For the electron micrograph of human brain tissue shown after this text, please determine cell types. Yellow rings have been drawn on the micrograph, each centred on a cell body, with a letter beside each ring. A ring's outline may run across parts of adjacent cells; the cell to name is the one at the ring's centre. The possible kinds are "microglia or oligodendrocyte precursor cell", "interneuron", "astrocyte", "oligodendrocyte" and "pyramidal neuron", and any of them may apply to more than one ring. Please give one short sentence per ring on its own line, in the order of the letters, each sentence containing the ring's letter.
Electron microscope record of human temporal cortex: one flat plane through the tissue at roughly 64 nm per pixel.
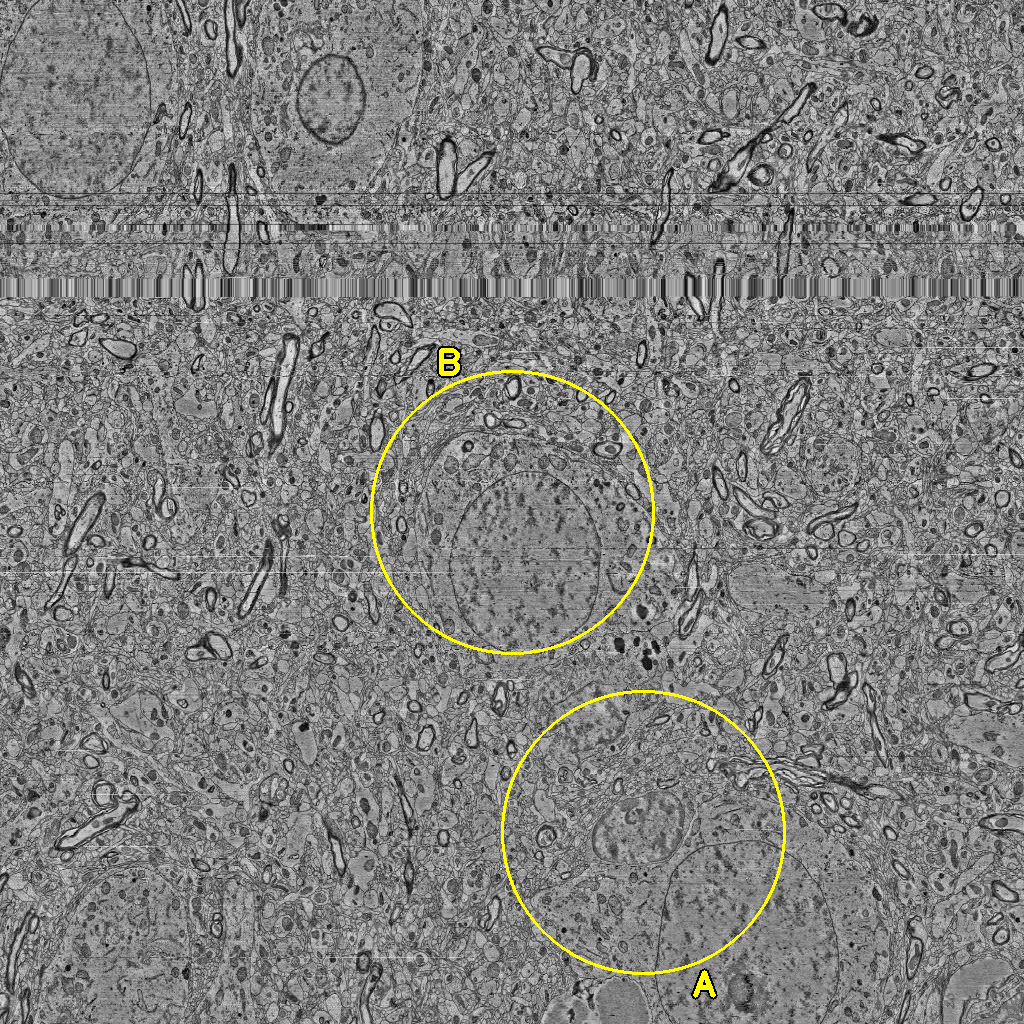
Ring A is set around an oligodendrocyte.
Ring B is set around a pyramidal neuron.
